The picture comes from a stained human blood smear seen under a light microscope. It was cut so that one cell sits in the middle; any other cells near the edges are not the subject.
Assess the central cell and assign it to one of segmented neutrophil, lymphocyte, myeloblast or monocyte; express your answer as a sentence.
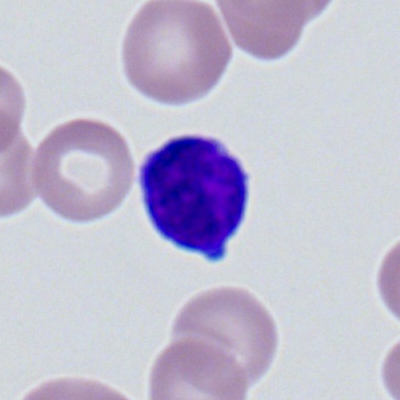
The cell centered in this field of view is a lymphocyte.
